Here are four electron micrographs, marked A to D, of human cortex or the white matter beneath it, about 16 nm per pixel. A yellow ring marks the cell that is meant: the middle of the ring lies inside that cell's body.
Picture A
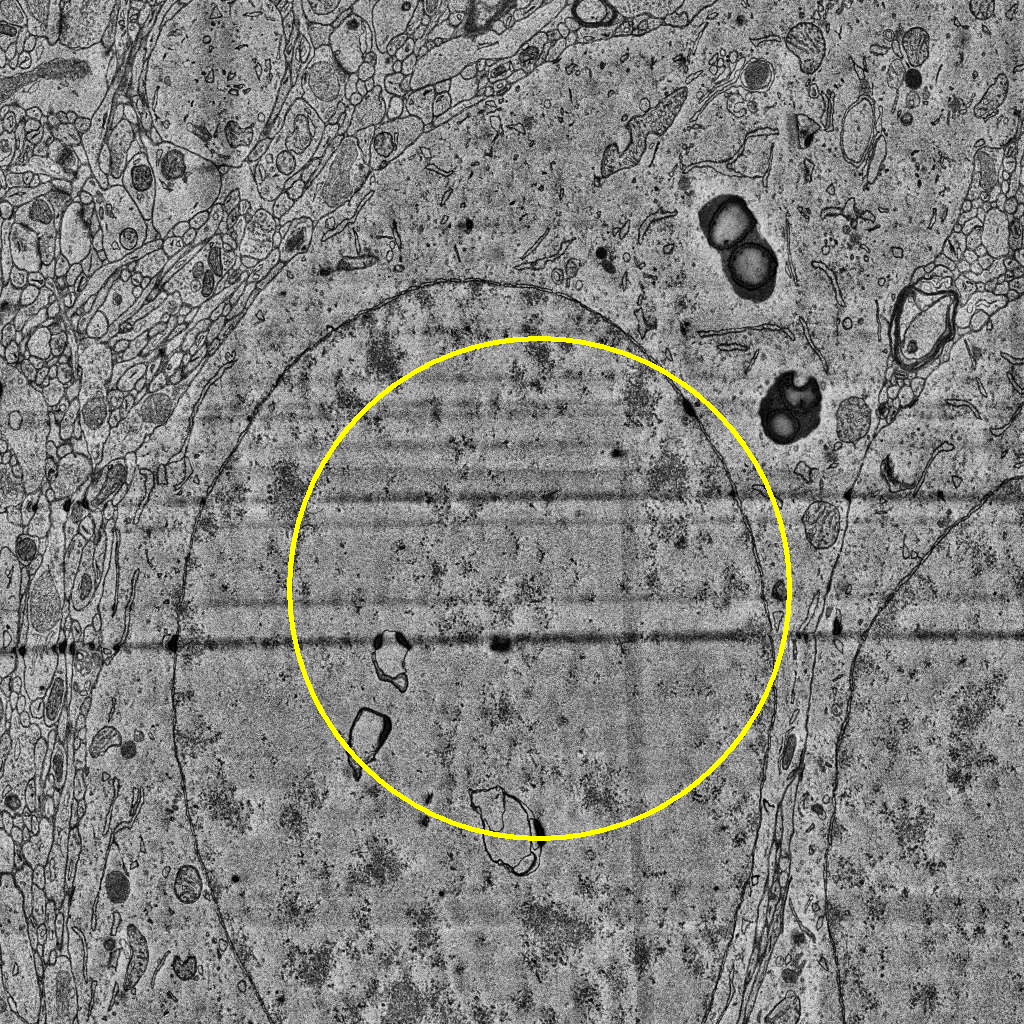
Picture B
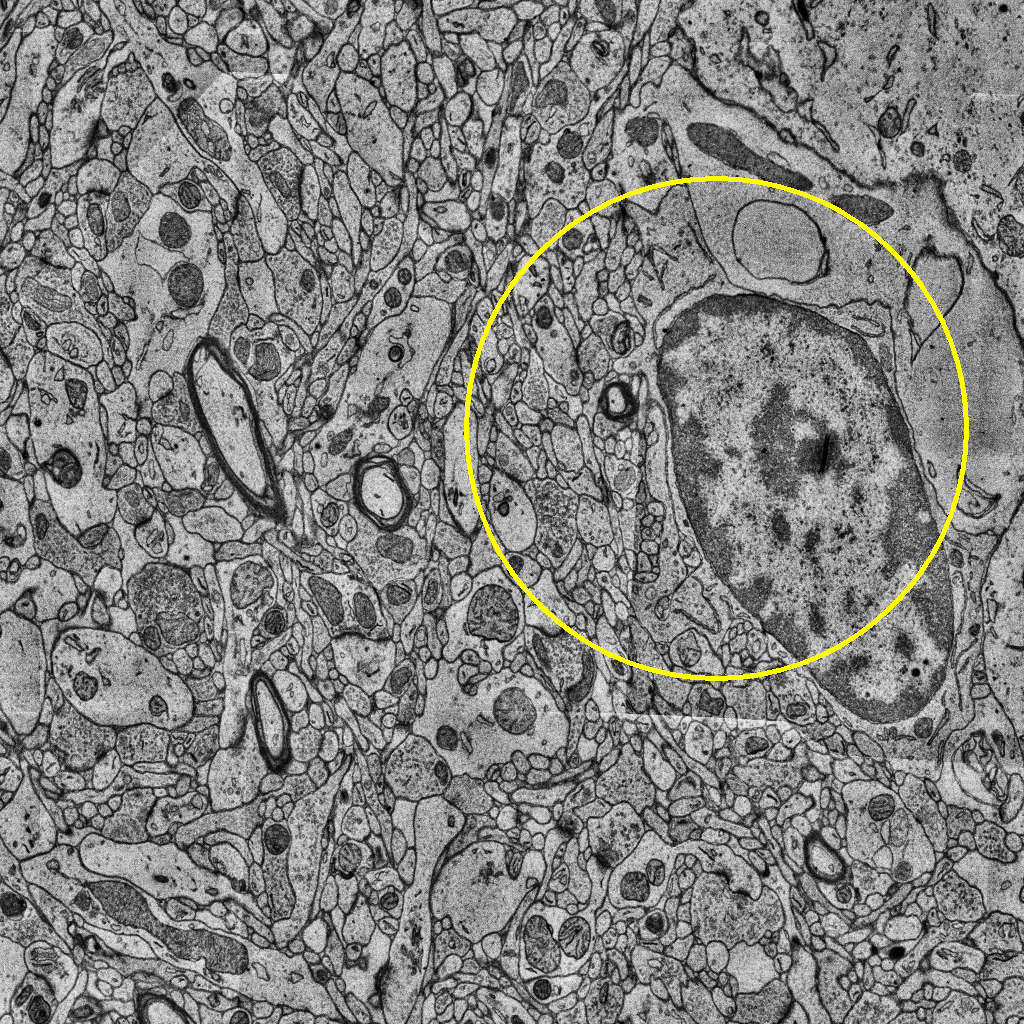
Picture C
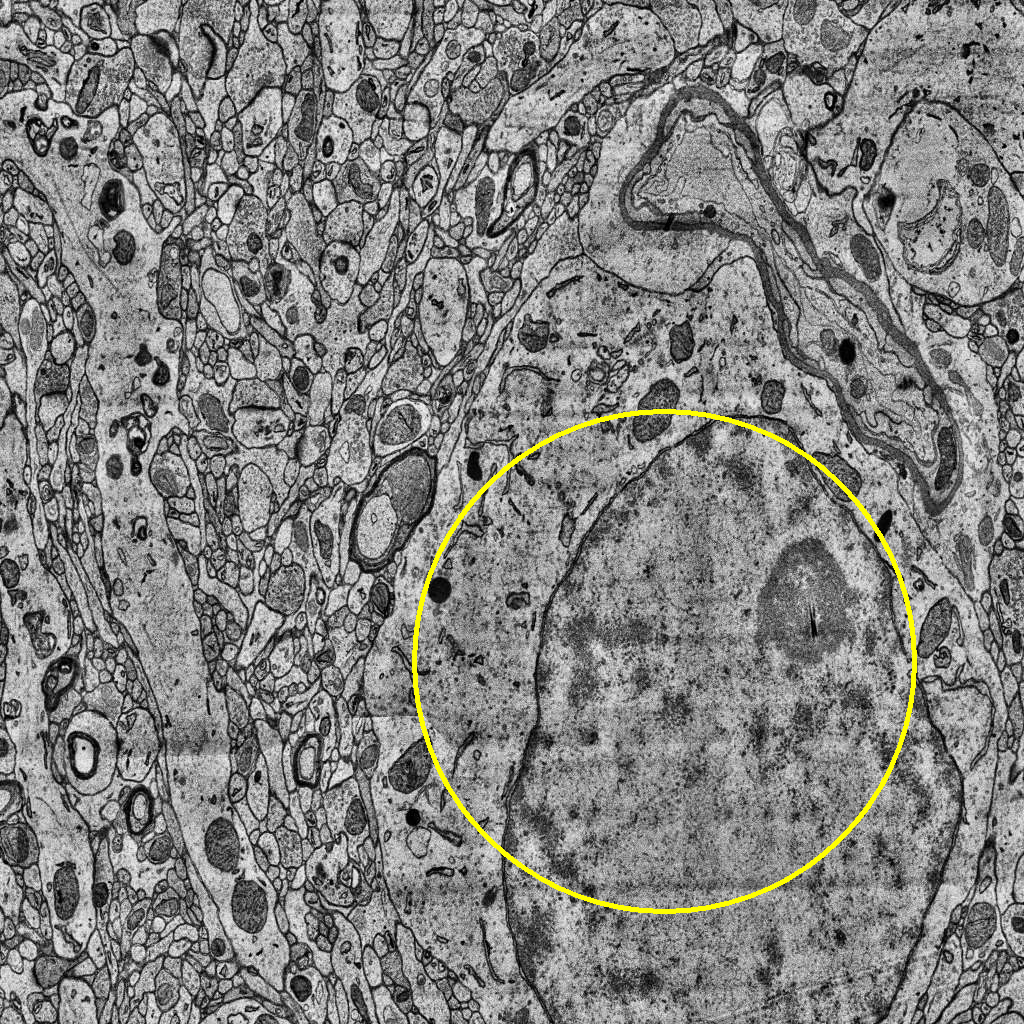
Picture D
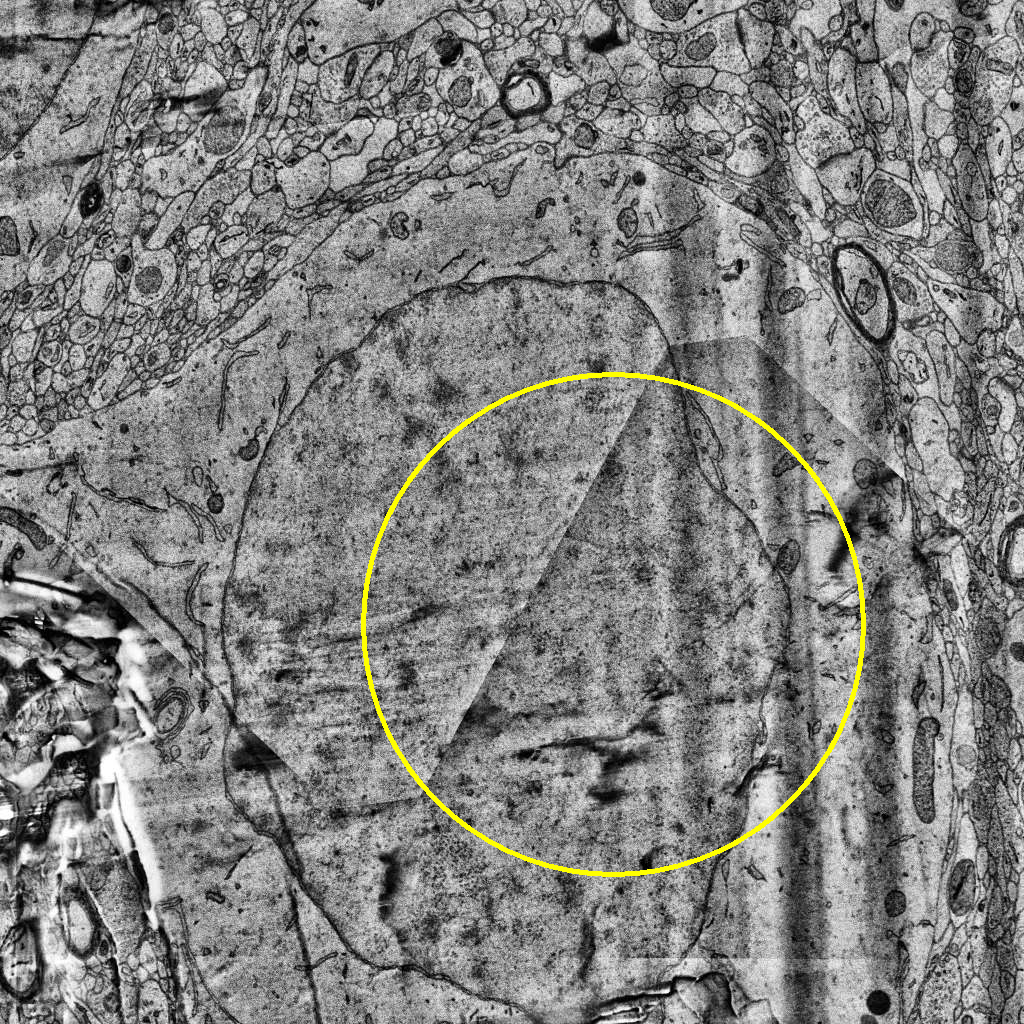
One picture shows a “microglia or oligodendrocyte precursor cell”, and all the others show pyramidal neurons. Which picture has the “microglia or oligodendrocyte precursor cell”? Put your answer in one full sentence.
The picture with the “microglia or oligodendrocyte precursor cell” is B.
